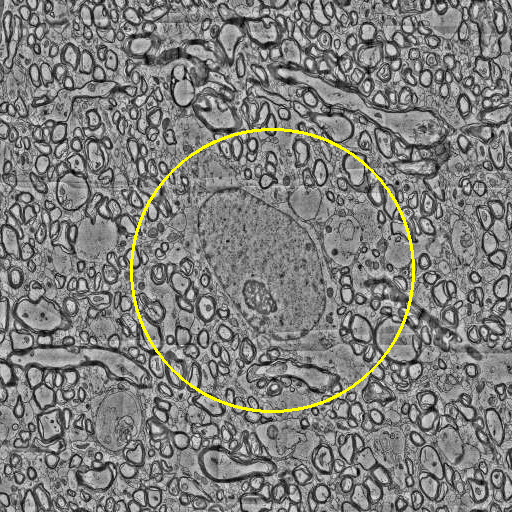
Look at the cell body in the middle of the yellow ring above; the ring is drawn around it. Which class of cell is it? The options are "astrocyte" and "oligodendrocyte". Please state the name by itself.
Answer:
astrocyte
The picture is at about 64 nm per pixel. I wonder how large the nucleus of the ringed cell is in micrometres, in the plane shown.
About 11 by 7 micrometres, the nucleus being clearly longer than it is wide in this plane.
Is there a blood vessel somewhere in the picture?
No, no vessel appears in the picture.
